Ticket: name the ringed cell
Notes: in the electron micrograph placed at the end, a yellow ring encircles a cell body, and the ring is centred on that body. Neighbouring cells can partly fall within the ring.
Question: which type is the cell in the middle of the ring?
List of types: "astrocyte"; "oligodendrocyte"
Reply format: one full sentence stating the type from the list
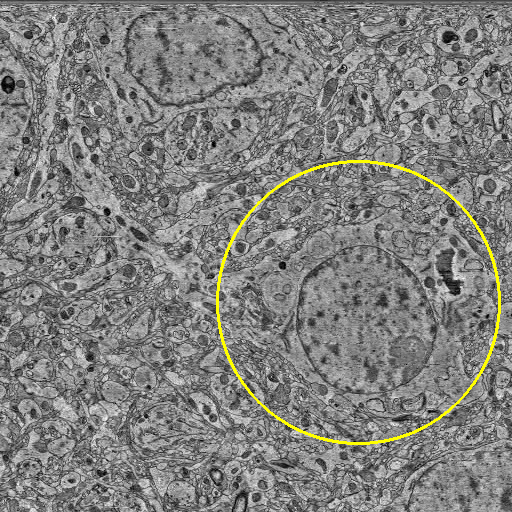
The cell sitting at the centre of the yellow ring is an astrocyte.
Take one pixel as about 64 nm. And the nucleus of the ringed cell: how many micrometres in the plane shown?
In this plane the nucleus measures roughly 10 by 9 micrometers.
